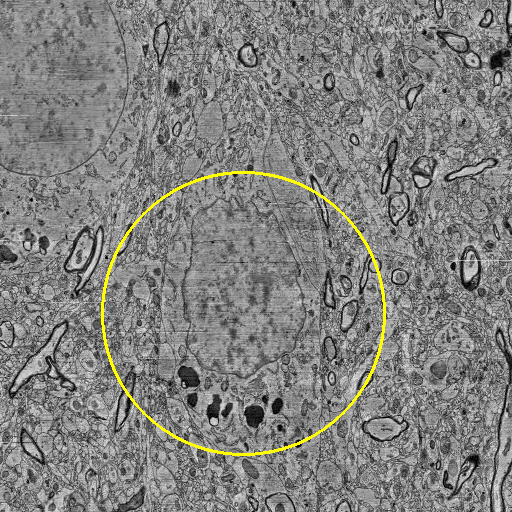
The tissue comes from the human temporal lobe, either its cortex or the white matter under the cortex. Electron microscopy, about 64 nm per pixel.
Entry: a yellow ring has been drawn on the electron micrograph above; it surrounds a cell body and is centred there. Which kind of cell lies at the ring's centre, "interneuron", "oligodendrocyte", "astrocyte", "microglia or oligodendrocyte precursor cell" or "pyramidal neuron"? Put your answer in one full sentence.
The cell sitting at the ring's centre is an interneuron in the micrograph above.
